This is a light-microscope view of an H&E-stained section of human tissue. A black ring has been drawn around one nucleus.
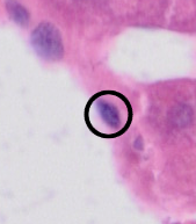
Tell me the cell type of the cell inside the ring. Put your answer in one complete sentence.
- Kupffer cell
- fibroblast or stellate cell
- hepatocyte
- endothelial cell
Recorded by type, the cell inside the ring is a fibroblast or stellate cell.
